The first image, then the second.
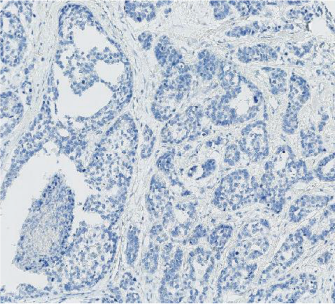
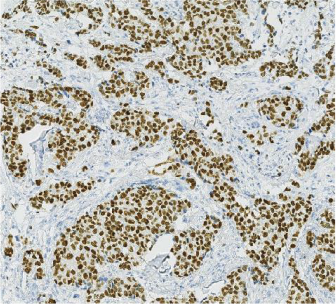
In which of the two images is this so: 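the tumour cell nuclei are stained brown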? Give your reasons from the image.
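The second image. First image: tumour cell nuclei are blue only, with no brown anywhere. Second image: nearly all tumour cell nuclei in the nests are dark brown.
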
